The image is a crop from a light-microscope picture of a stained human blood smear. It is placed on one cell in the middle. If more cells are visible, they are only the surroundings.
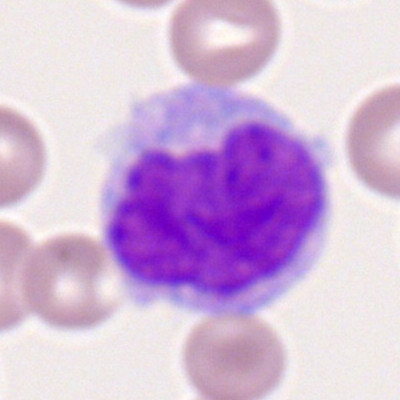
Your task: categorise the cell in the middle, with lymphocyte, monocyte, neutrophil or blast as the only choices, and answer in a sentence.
The cell found in the middle of this crop is a monocyte.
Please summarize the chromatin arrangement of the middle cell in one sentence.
In this cell the chromatin is fine rather than coarsely clumped.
